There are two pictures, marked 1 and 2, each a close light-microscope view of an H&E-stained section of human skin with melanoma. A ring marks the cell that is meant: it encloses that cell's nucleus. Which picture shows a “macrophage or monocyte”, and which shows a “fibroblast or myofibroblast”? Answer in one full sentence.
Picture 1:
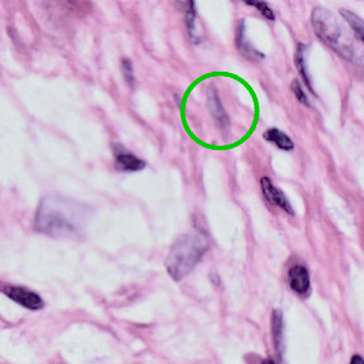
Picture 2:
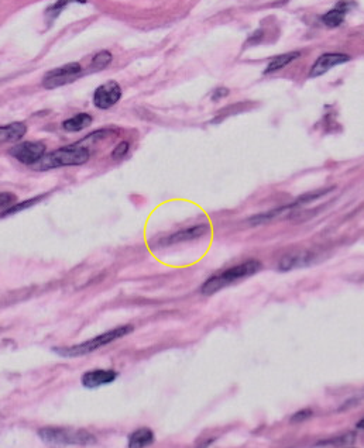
Picture 2 shows a “macrophage or monocyte”, while picture 1 shows a “fibroblast or myofibroblast”.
